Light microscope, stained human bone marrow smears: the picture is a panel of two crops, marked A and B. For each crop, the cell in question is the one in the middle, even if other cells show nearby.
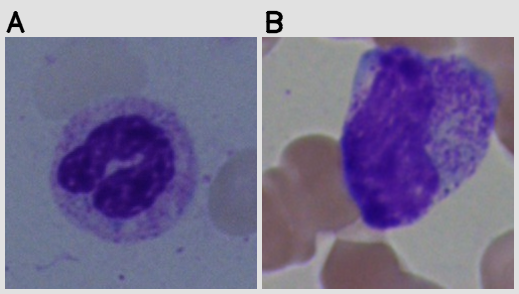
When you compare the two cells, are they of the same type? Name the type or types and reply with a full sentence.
No, while a band neutrophil is found in crop A, a metamyelocyte is found in crop B.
